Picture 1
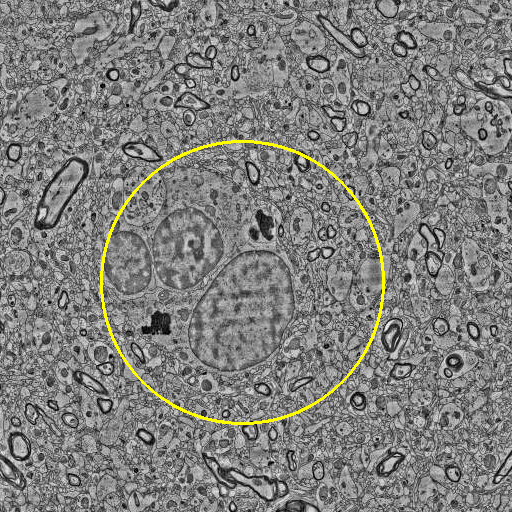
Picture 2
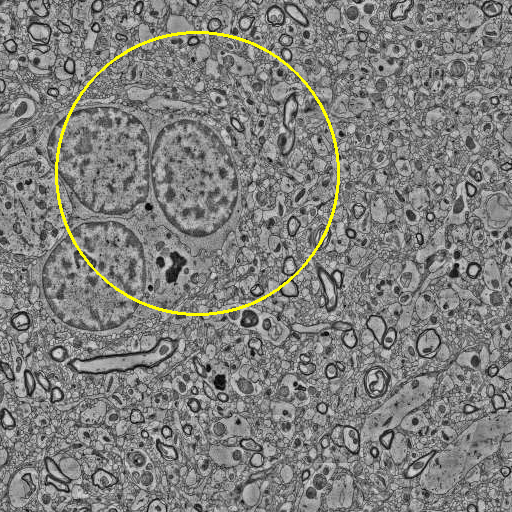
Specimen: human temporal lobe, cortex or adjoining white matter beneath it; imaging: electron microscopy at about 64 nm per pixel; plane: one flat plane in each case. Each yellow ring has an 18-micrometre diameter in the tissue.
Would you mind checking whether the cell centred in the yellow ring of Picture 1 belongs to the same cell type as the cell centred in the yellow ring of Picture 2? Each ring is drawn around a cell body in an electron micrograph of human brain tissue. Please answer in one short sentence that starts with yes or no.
Yes, both cells are of the same type.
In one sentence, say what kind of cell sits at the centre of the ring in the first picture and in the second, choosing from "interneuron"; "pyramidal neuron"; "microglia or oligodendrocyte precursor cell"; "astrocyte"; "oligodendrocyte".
The first and the second cell are each an oligodendrocyte.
